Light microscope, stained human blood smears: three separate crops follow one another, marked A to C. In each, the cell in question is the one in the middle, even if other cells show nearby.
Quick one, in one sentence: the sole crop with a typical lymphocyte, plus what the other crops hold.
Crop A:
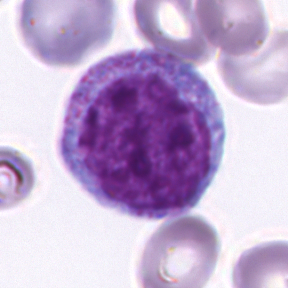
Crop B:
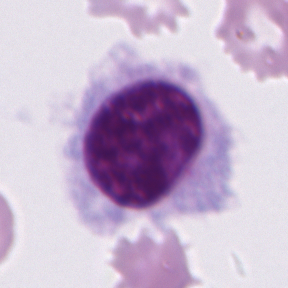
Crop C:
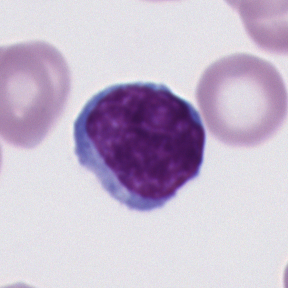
In the series, crop C depicts a typical lymphocyte, while crop A is a promyelocyte and crop B is a hairy cell.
